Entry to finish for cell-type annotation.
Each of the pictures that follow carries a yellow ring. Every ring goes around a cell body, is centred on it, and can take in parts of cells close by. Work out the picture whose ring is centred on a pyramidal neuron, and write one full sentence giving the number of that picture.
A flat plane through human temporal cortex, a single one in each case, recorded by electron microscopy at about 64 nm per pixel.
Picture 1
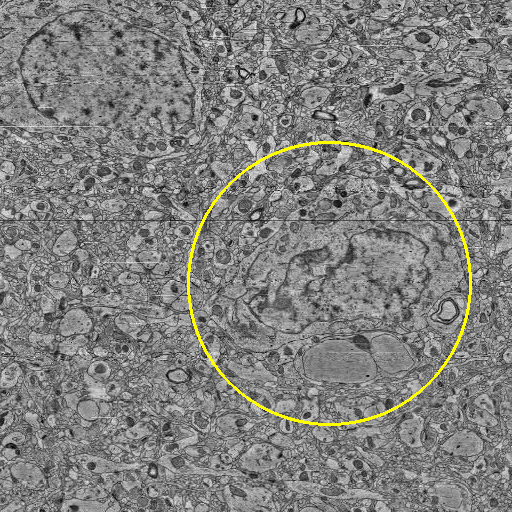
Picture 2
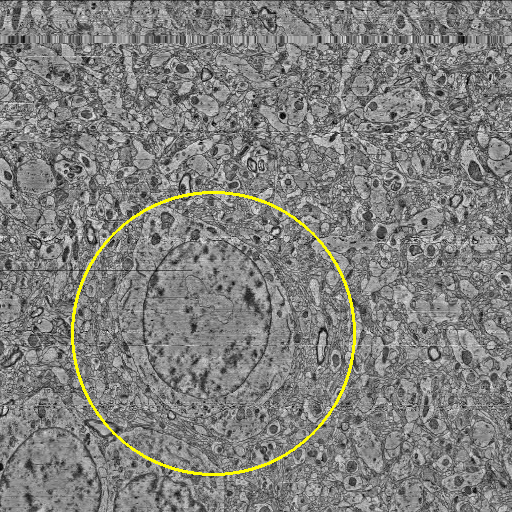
The cell at the heart of the ring in picture 2 matches the request.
